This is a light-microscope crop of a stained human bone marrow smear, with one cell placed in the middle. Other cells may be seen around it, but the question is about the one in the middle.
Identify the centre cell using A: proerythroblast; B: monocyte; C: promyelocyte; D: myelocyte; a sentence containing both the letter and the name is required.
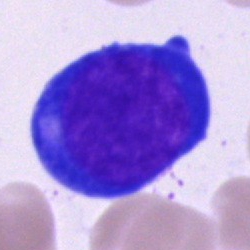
Option A is right, the centrally situated cell being a proerythroblast.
